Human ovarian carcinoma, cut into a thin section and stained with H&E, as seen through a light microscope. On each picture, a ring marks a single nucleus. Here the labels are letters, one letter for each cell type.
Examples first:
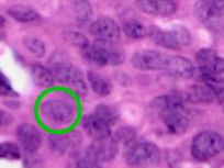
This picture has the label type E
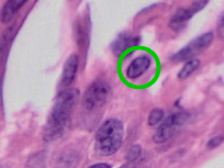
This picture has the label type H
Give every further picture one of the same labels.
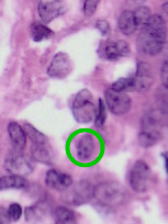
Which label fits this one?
type H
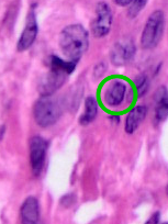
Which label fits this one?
type H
